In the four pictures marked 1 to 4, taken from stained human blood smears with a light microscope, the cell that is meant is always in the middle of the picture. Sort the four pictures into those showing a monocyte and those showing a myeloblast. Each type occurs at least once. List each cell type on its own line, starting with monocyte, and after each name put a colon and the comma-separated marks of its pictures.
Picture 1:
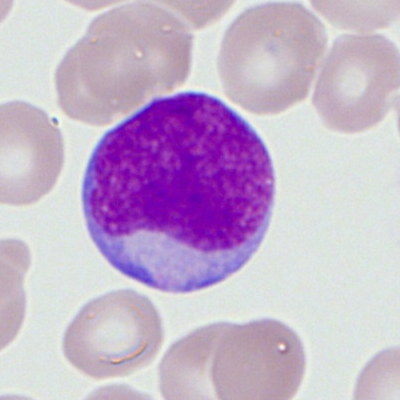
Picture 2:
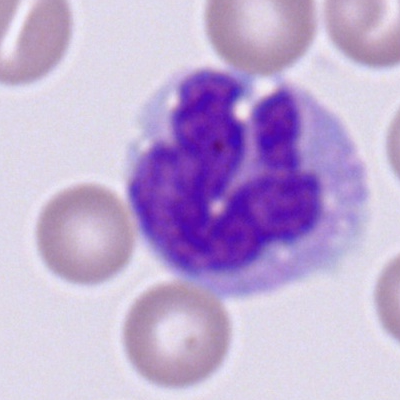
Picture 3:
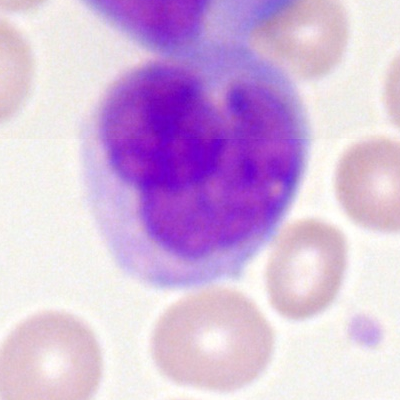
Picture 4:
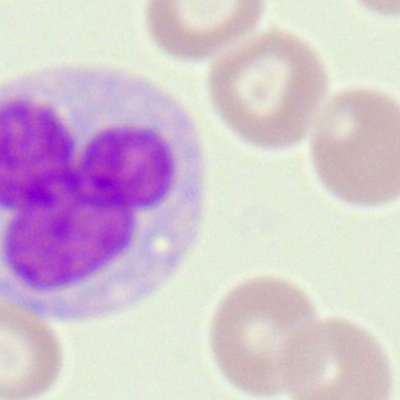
monocyte: 2, 3, 4
myeloblast: 1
